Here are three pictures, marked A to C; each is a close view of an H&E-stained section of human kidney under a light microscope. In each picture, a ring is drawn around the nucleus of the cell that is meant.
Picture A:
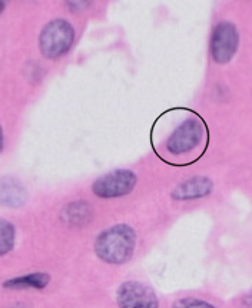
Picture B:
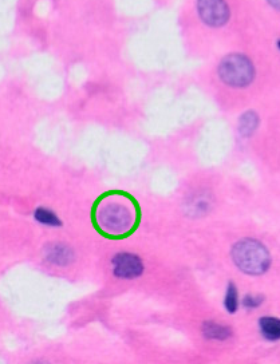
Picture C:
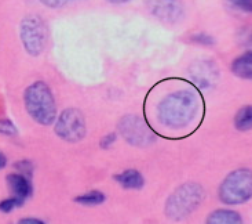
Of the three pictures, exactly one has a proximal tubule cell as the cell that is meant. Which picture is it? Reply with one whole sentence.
The proximal tubule cell is the one in picture B.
